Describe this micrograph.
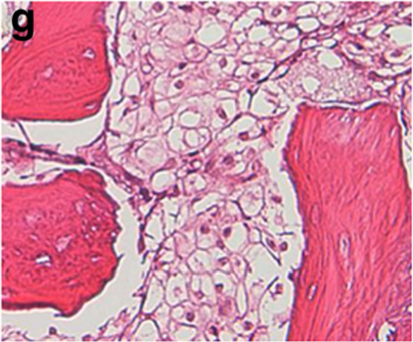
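Here sheets of adipocyte-like cells fill the marrow space between thick, deep pink bone trabeculae. The cells are rounded and polygonal with clear, empty-looking cytoplasm and small nuclei, much like fat cells. The bone itself is broad and dense, consistent with sclerosis.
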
